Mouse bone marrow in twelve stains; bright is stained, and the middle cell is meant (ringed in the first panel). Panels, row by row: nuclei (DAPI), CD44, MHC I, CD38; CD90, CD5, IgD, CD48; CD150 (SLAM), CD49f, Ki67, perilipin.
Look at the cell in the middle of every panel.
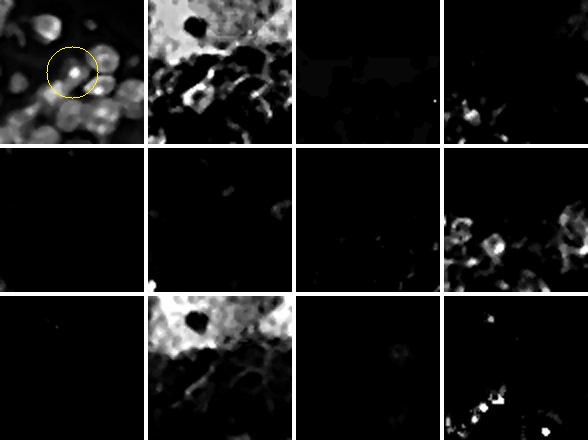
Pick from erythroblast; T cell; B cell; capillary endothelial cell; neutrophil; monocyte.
neutrophil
